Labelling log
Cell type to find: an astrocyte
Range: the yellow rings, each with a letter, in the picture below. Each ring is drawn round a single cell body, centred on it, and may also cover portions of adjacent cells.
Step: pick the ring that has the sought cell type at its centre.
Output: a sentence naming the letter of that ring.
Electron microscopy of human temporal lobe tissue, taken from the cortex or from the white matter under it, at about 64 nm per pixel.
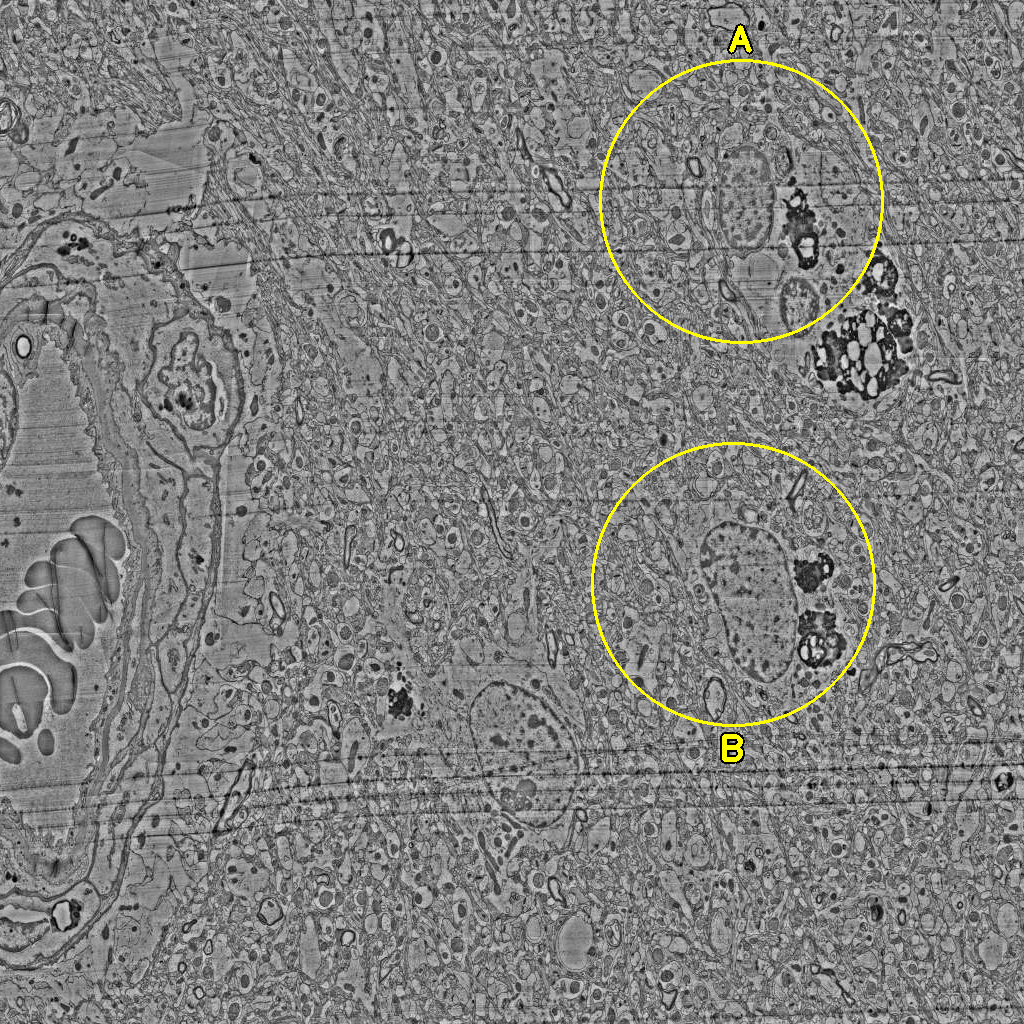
Ring B is the one with the cell asked for at its centre.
